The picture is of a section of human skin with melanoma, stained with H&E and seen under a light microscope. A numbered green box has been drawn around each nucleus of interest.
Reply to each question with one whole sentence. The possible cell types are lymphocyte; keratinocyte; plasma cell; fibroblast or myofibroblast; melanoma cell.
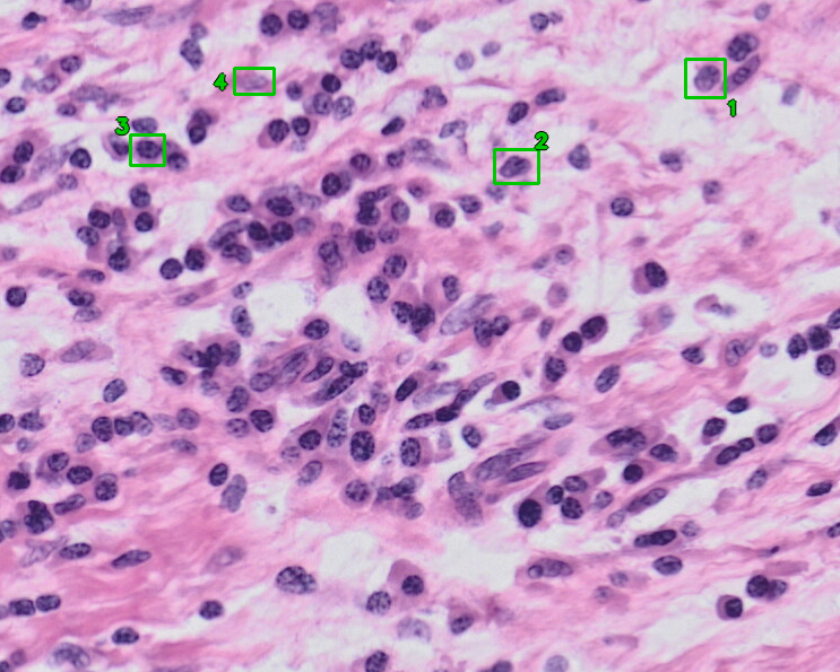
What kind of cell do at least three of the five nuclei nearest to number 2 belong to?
Of the five nuclei nearest to number 2, most belong to plasma cells.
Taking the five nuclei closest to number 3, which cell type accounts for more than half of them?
Plasma cells make up most of the five nuclei closest to number 3.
